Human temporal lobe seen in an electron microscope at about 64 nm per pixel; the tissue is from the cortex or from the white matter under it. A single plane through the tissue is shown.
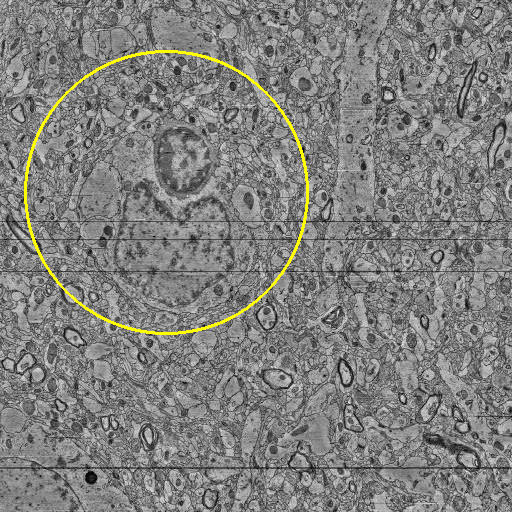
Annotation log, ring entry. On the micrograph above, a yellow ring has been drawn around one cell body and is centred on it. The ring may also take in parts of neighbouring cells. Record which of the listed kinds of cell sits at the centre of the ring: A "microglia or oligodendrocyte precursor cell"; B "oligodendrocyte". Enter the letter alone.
B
